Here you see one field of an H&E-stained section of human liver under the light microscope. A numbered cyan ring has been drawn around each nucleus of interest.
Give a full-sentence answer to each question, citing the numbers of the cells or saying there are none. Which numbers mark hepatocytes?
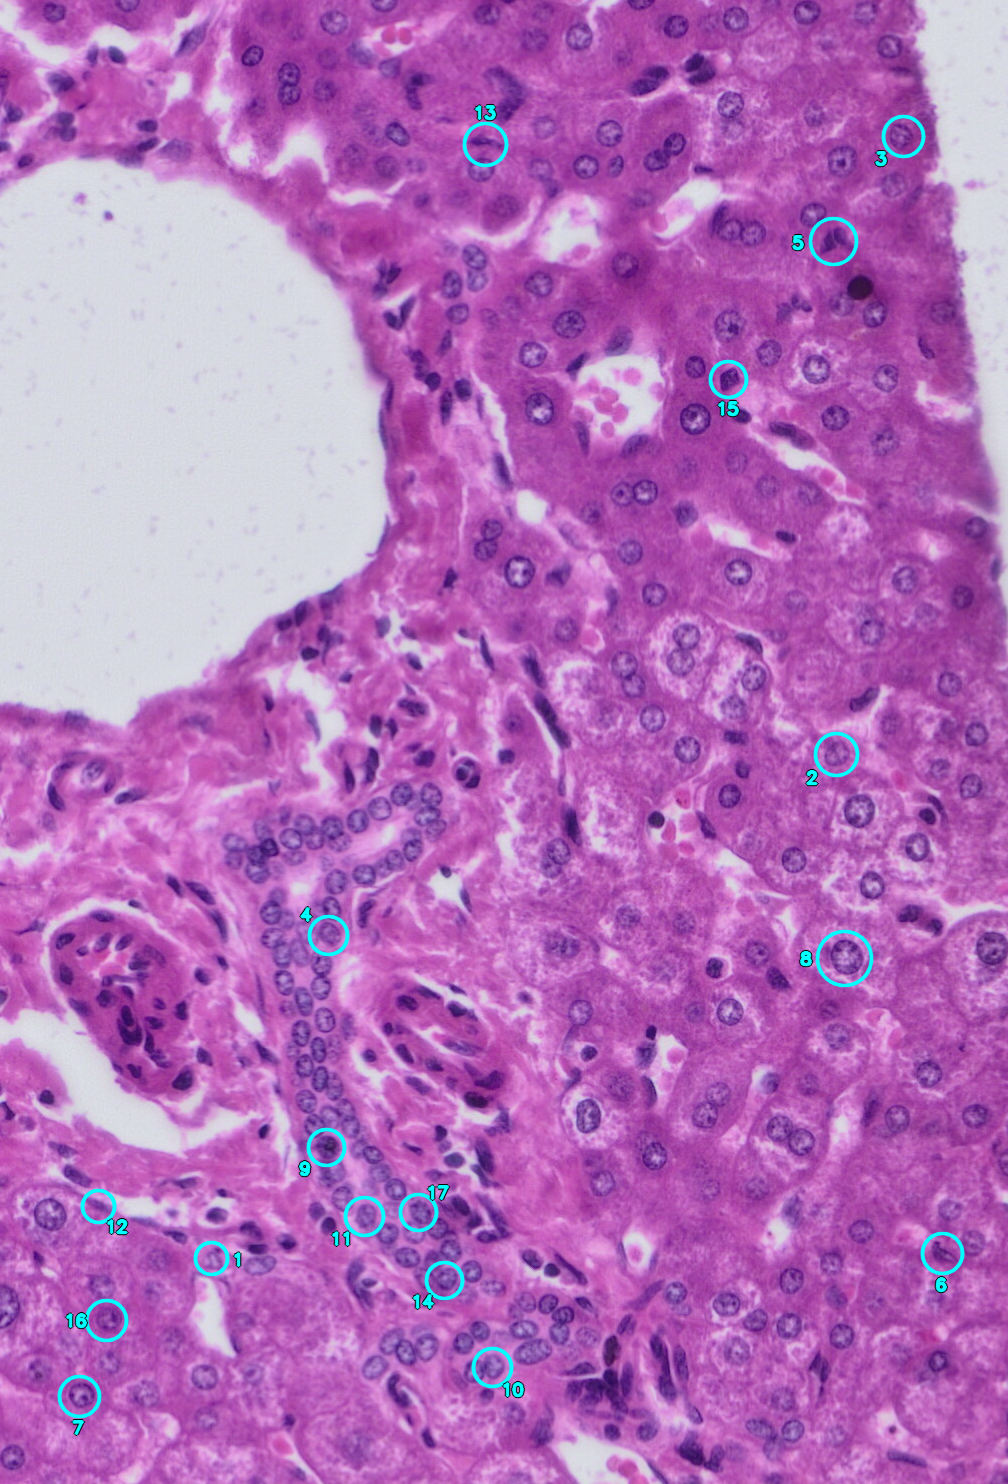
Identified as hepatocytes are the cells numbered 2, 3, 7, 8 and 16.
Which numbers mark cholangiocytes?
Here, the cells that carry numbers 1, 4, 9, 10, 11, 14 and 17 are cholangiocytes.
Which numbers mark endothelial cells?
Just one of the numbered cells is an endothelial cell, namely number 6.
